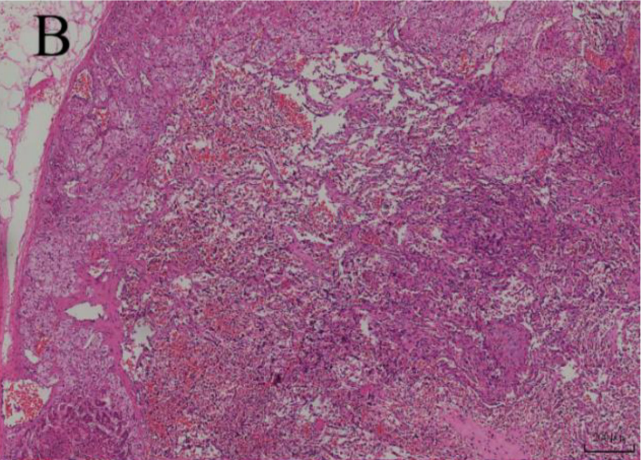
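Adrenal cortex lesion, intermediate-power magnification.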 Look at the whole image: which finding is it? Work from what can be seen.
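Numerous irregular spaces filled with red blood cells. Vascular spaces spread through the tissue.
Answer: hemangiomatous appearance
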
